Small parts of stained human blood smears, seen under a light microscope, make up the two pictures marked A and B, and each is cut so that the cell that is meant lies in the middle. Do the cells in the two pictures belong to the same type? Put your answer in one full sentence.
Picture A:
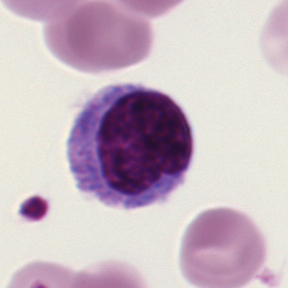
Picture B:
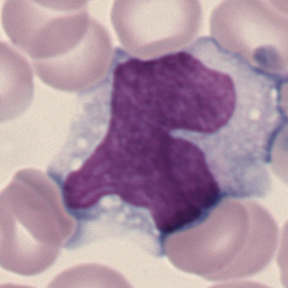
Yes, both cells are monocytes.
